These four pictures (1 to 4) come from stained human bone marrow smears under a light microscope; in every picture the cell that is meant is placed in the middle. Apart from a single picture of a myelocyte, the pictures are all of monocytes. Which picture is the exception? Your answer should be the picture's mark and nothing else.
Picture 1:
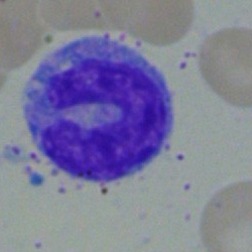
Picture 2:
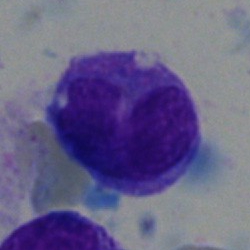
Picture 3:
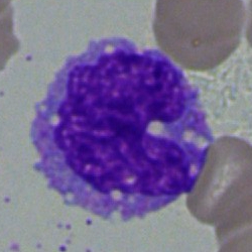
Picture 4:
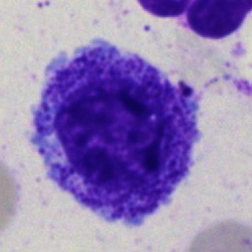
4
